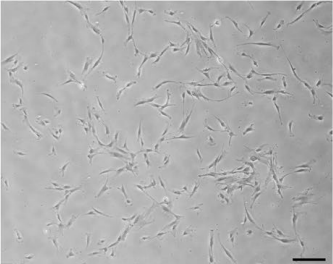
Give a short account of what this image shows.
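Most cells are elongated and spindle-shaped, tapering at both ends into thin processes; some have three or more slender extensions. The cells lie singly or in loose groups with open space between them, in varied orientations rather than aligned in parallel. No lipid droplets or rounded fat cells are visible among them.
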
